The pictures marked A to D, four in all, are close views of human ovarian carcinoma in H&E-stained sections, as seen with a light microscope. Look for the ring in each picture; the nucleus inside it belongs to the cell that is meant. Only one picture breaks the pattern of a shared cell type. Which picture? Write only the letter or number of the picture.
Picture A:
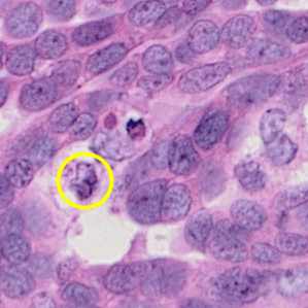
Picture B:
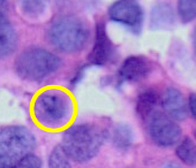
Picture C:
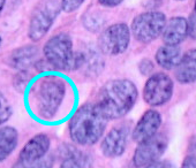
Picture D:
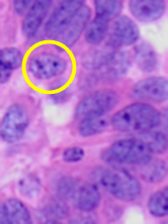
C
